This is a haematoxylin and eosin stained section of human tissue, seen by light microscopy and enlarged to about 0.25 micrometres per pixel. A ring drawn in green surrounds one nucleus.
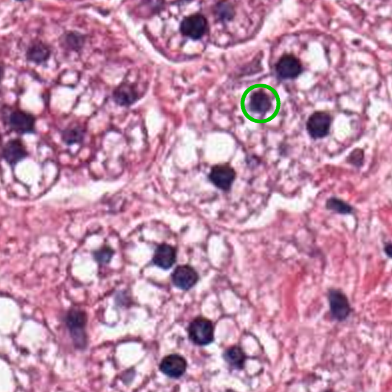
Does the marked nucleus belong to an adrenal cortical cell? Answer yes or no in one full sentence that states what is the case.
Yes, the marked nucleus lies within an adrenal cortical cell.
